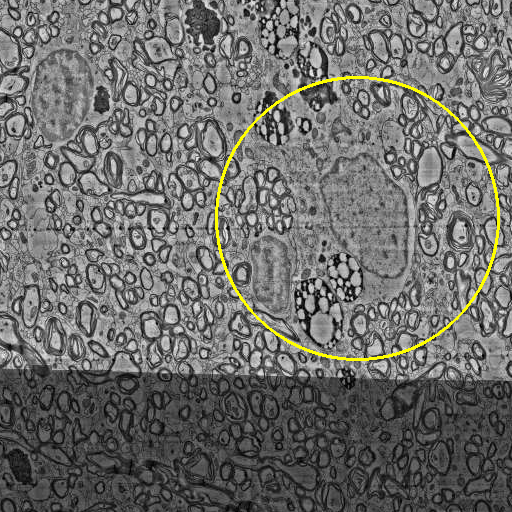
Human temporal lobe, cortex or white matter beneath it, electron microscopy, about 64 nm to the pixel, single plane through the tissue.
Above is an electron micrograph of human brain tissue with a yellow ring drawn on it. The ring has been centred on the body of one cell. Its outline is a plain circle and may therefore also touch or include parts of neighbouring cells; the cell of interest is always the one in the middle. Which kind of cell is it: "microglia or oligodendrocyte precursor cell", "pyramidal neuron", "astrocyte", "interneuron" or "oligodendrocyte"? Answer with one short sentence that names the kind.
The ring's central cell body is that of an astrocyte.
